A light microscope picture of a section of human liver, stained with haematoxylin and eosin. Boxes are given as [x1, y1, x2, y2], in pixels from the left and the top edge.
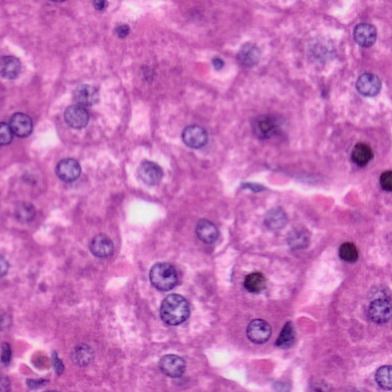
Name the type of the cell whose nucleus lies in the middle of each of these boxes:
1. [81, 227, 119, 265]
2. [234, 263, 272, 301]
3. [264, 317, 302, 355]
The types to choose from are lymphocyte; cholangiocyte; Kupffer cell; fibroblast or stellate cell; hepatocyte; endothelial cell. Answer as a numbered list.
1. hepatocyte
2. hepatocyte
3. fibroblast or stellate cell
